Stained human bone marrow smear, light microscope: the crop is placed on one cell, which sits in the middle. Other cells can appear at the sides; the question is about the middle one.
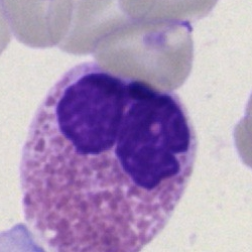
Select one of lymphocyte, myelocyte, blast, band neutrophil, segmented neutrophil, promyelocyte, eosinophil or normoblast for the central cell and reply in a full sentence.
The cell under consideration, at the middle of the crop, is an eosinophil.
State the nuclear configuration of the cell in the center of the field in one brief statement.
One defining trait here is a nucleus of two or more segments.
